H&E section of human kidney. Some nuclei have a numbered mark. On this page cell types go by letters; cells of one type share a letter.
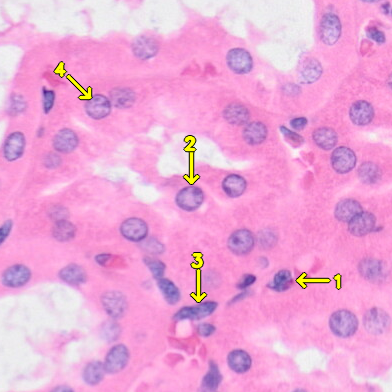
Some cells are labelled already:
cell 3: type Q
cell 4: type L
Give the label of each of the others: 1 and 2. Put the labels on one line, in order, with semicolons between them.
type Q; type L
